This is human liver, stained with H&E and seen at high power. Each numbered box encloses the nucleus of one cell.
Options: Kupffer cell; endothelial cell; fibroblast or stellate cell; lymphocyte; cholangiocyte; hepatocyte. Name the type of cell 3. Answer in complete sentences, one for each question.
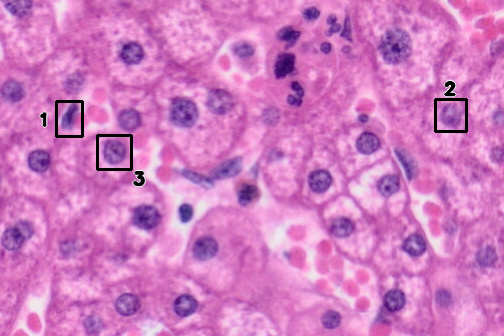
Numbered cell 3 is a hepatocyte in this tissue section.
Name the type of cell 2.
Within this field of view, the cell labelled 2 is a hepatocyte.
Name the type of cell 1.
The cell bearing label 1 corresponds to an endothelial cell.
